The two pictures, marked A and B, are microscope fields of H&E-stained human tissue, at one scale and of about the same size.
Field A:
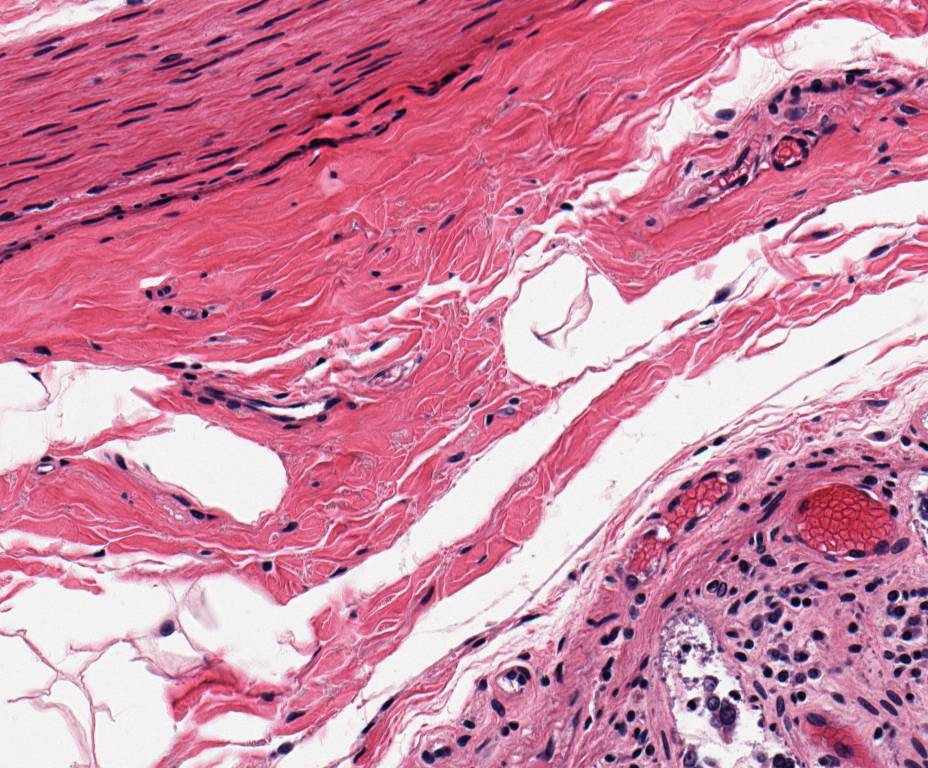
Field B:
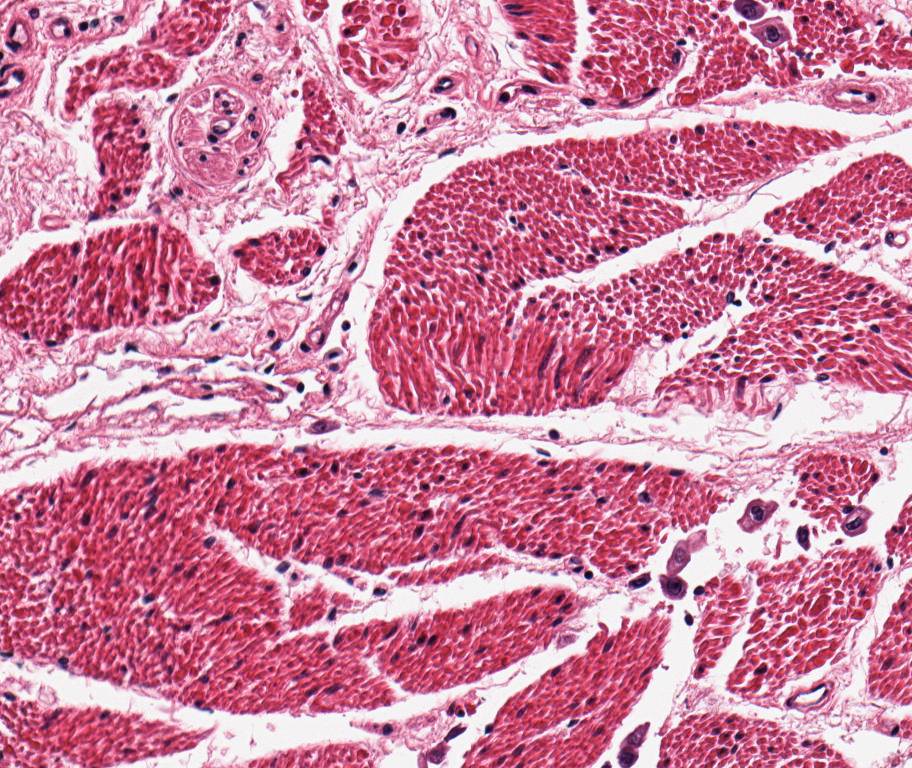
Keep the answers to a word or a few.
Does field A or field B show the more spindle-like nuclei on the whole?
A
